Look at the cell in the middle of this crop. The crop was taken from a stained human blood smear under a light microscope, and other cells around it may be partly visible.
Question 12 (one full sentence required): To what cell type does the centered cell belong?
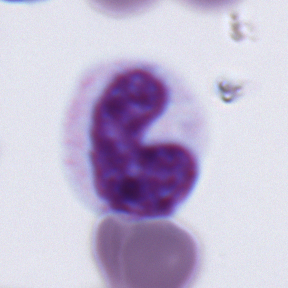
Whatever else lies nearby, the middle cell is a band neutrophil.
